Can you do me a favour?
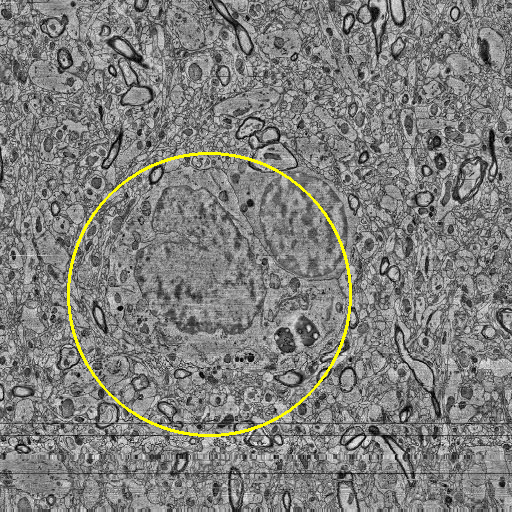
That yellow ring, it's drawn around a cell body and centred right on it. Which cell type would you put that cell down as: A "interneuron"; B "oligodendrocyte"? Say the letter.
A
